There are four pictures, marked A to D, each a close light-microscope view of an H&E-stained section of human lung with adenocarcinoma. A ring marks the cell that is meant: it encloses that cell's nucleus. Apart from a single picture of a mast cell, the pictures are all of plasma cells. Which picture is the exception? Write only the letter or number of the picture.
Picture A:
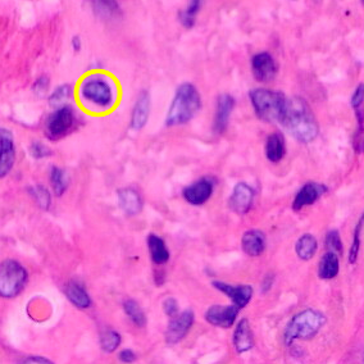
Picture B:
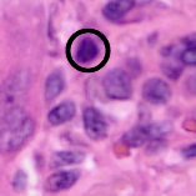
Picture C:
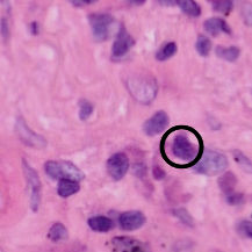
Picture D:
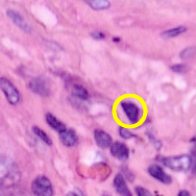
A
